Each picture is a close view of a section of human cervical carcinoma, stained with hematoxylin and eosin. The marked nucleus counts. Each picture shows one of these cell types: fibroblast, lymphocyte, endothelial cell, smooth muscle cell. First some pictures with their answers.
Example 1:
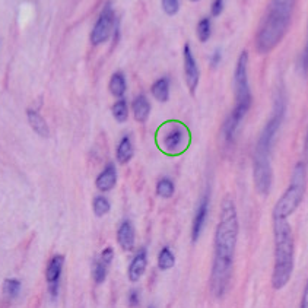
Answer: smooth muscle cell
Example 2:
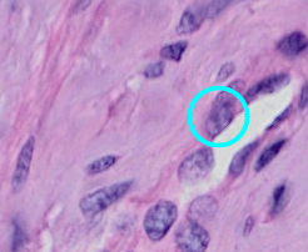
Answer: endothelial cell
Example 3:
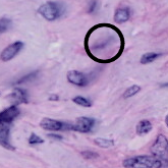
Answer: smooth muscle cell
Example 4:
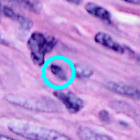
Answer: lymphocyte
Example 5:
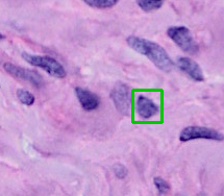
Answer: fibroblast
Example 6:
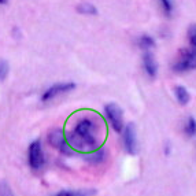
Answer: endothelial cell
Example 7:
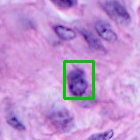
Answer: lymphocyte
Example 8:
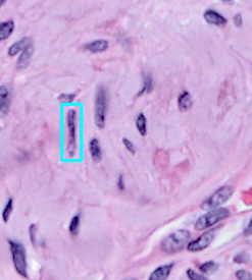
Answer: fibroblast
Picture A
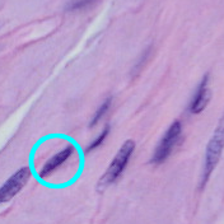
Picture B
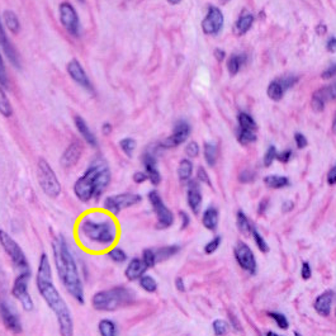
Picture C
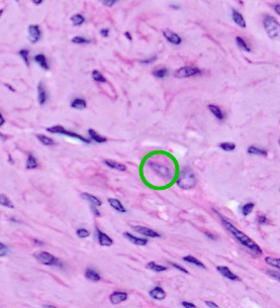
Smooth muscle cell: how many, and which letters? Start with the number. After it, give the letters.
Count: 1 (B)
